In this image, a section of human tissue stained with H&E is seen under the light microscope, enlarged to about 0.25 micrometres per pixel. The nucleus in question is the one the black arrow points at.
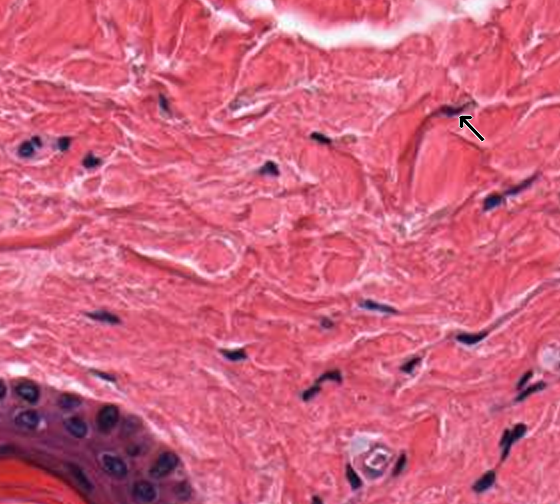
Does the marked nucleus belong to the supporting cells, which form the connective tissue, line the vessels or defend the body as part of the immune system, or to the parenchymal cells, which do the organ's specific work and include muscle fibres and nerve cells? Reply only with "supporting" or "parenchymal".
supporting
